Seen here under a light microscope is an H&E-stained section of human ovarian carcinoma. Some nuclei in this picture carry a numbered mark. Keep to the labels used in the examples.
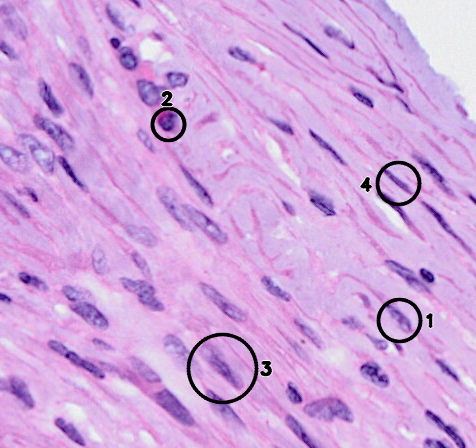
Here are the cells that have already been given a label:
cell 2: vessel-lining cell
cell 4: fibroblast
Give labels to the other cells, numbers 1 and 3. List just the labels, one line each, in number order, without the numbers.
fibroblast
fibroblast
